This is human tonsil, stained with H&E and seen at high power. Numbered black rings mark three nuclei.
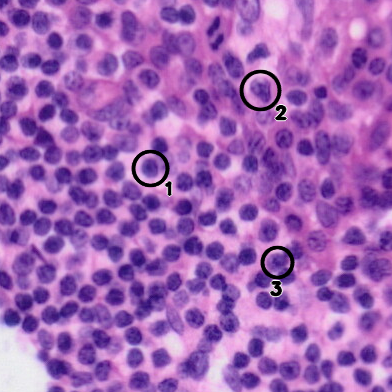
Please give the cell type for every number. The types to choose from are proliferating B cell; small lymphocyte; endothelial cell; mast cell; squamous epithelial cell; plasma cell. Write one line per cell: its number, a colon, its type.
1: small lymphocyte
2: plasma cell
3: small lymphocyte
